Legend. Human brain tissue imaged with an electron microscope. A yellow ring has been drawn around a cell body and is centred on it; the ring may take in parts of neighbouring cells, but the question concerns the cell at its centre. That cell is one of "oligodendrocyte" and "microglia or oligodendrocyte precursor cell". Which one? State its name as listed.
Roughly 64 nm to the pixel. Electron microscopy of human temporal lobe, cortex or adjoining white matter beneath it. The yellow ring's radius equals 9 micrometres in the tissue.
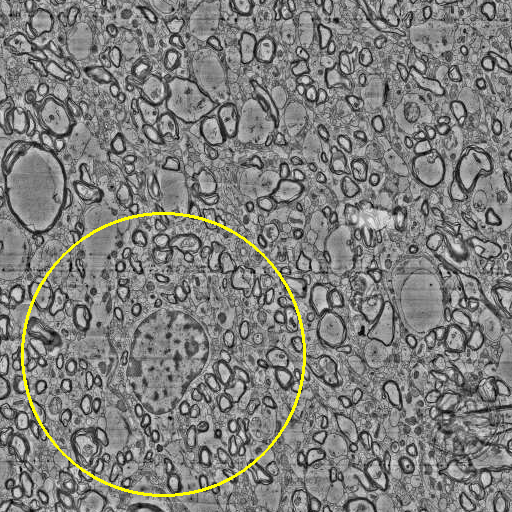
microglia or oligodendrocyte precursor cell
